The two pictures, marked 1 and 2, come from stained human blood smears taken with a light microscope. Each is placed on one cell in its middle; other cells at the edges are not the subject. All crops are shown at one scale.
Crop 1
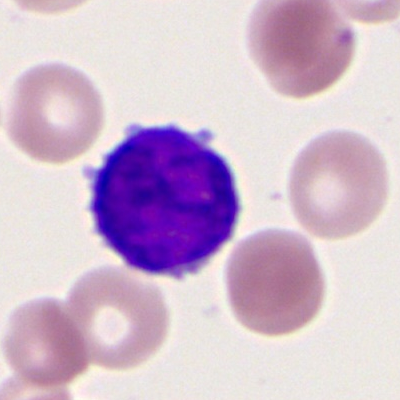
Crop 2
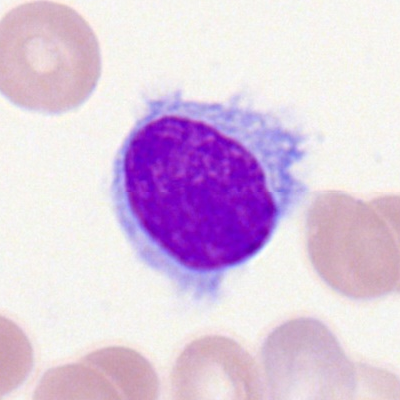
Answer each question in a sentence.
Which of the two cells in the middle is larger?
Crop 2 holds the larger cell; it covers about 1.5 times the area of the cell in crop 1.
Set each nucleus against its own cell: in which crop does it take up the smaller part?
In crop 2 the nucleus takes up the smaller part of its cell.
